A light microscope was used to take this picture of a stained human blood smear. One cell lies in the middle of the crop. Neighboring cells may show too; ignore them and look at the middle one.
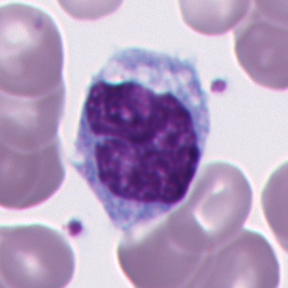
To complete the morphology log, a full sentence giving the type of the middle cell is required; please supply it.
The cell shown in the center of this light-microscope crop is a monocyte.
